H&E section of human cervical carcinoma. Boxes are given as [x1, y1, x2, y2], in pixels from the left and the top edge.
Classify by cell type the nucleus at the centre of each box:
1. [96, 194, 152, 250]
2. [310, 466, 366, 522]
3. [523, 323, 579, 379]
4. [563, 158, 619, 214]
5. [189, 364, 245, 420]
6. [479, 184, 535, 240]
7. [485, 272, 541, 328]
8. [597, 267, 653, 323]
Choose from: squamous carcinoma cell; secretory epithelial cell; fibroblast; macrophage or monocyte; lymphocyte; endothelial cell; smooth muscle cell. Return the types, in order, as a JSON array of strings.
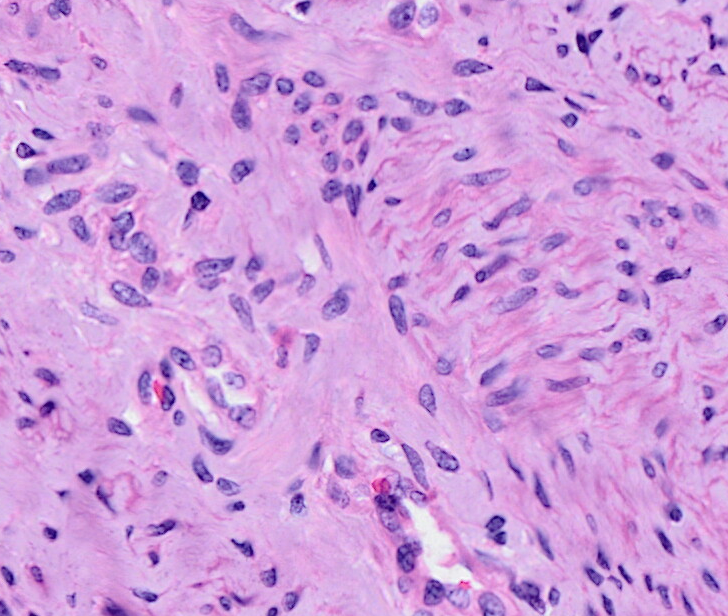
["endothelial cell", "endothelial cell", "smooth muscle cell", "smooth muscle cell", "endothelial cell", "smooth muscle cell", "smooth muscle cell", "smooth muscle cell"]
